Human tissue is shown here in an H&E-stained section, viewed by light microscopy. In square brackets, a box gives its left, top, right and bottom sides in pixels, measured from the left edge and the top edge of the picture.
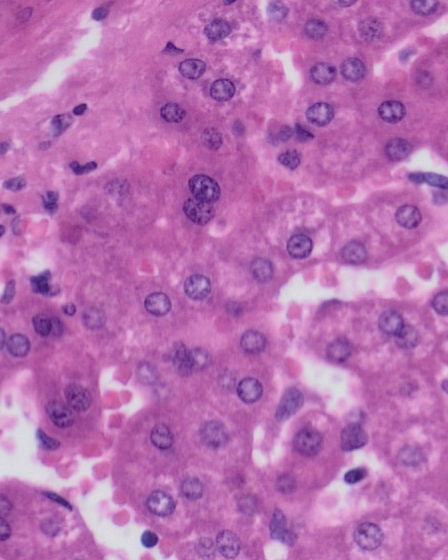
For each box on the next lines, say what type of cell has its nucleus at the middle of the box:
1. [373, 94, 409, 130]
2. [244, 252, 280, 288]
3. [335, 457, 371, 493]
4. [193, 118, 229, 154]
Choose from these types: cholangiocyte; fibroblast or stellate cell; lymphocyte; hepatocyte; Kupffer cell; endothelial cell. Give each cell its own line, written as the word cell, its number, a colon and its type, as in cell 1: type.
cell 1: hepatocyte
cell 2: hepatocyte
cell 3: lymphocyte
cell 4: hepatocyte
